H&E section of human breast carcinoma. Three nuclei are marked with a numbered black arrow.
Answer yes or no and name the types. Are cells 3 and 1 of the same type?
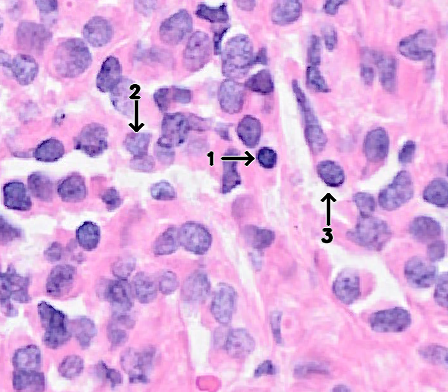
No, cell 3 is a carcinoma cell and cell 1 is a lymphocyte.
